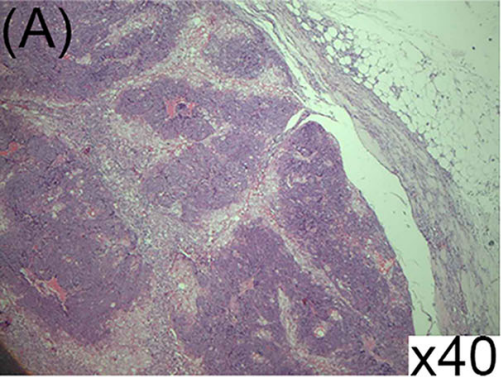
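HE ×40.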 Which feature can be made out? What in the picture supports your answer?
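Dark purple cellular islands of varying size are separated by paler stroma. The islands are bordered on the right by a fibrous band with fat beyond it. On this evidence: nests or lobules.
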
